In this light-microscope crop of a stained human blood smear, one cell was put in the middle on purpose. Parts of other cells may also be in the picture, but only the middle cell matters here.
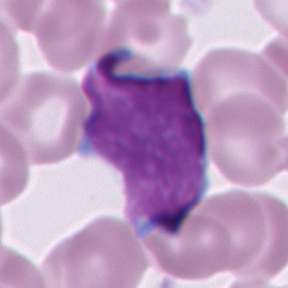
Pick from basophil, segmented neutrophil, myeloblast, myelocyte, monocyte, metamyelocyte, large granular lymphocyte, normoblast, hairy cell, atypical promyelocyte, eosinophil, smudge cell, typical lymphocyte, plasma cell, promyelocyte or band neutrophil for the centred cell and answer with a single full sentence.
Seen at the centre of the crop is a typical lymphocyte.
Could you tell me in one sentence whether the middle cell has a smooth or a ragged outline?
Irregularity marks the cell border, whether as raggedness or as projections.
